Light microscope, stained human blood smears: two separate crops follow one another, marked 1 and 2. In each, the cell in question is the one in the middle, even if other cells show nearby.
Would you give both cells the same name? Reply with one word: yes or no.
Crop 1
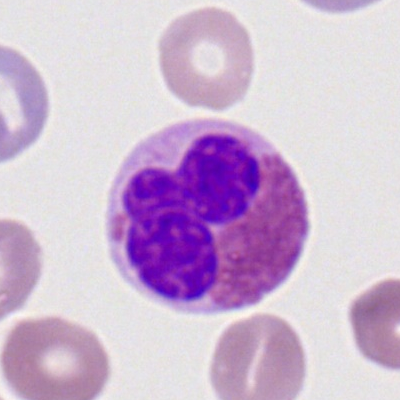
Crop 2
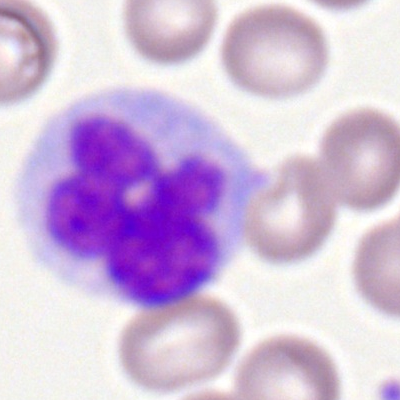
no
